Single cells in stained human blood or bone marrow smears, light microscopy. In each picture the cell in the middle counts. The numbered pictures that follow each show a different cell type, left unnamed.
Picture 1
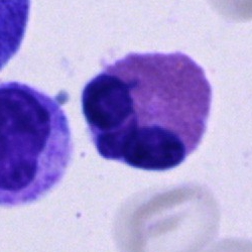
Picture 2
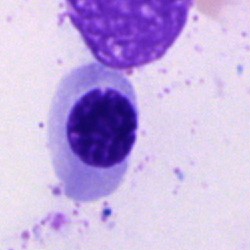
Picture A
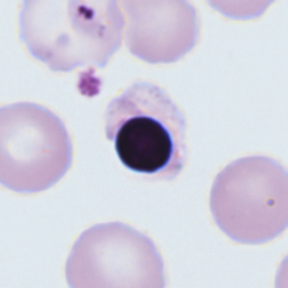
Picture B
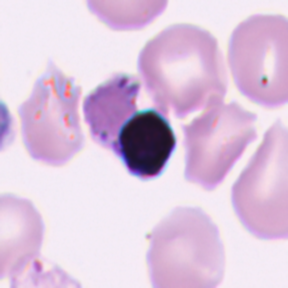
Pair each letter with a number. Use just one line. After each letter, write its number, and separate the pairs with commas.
A 2, B 2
